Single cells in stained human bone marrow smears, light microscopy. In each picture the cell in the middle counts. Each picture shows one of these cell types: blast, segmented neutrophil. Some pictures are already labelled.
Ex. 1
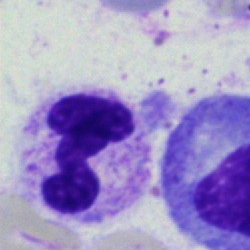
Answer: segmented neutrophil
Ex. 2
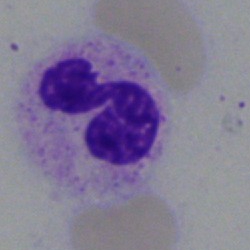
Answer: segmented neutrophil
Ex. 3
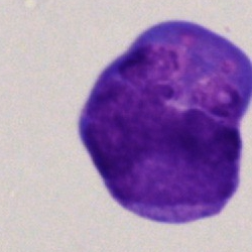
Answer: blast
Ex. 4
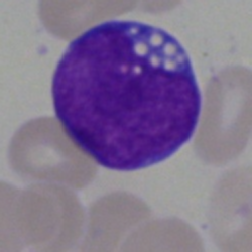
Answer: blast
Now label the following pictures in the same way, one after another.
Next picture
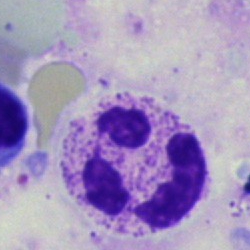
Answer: segmented neutrophil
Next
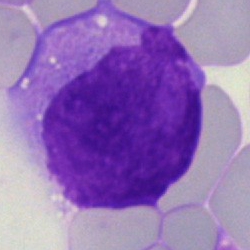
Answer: blast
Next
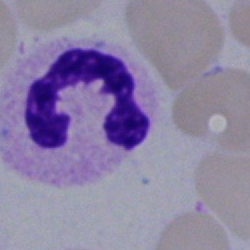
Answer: segmented neutrophil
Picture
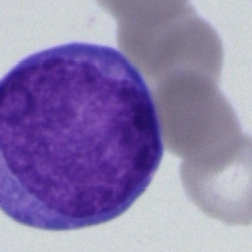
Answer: blast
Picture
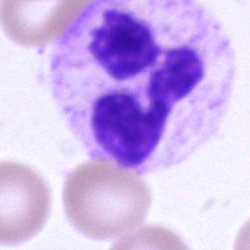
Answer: segmented neutrophil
